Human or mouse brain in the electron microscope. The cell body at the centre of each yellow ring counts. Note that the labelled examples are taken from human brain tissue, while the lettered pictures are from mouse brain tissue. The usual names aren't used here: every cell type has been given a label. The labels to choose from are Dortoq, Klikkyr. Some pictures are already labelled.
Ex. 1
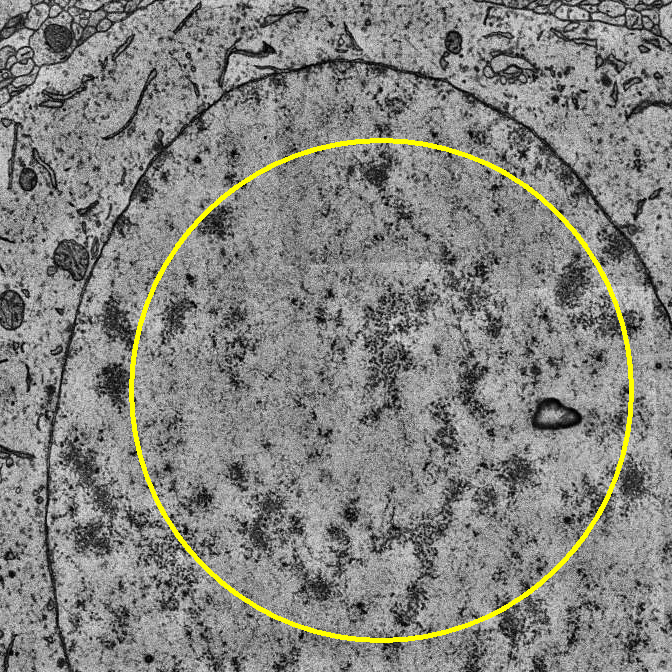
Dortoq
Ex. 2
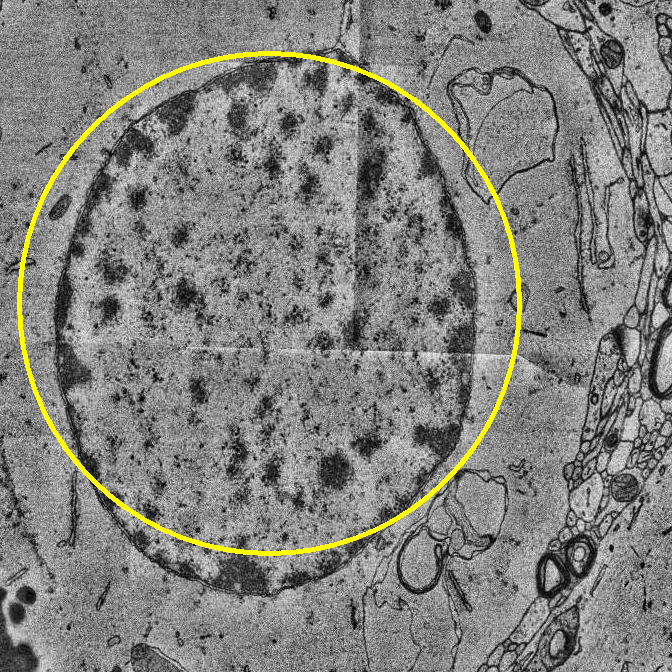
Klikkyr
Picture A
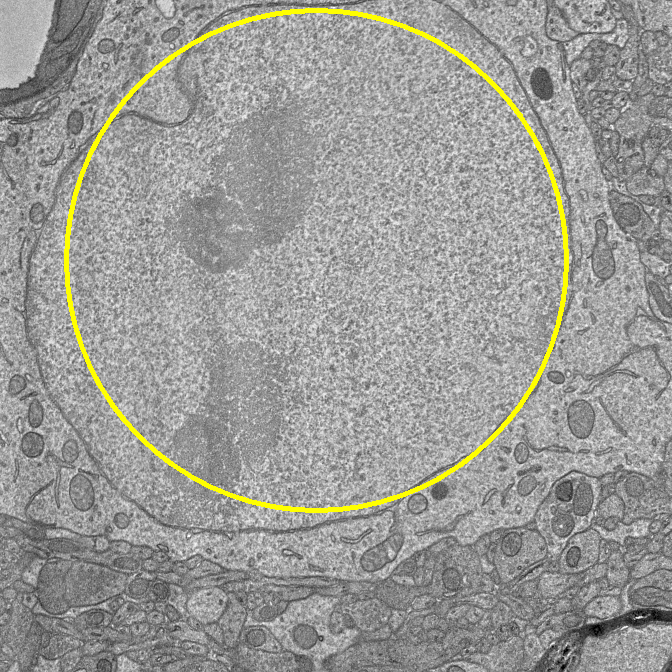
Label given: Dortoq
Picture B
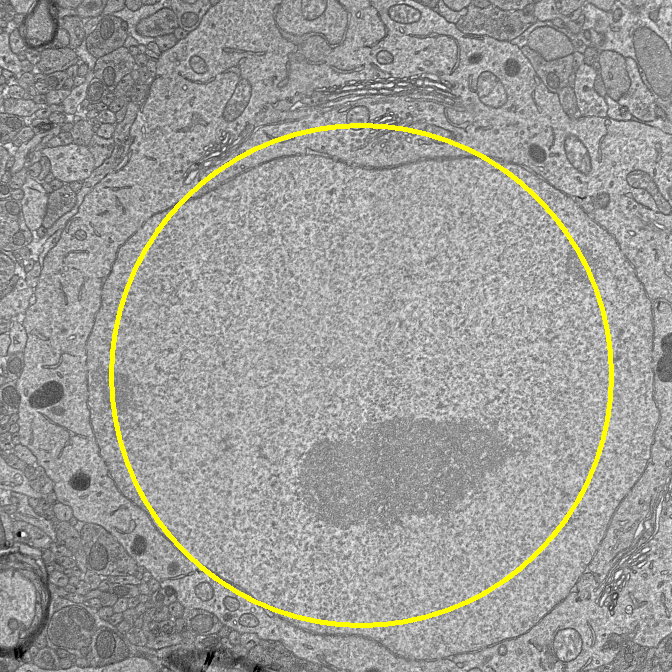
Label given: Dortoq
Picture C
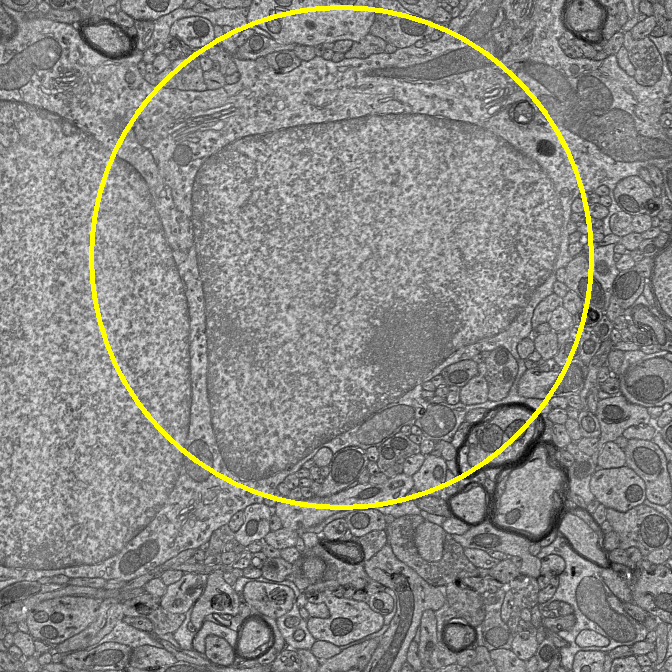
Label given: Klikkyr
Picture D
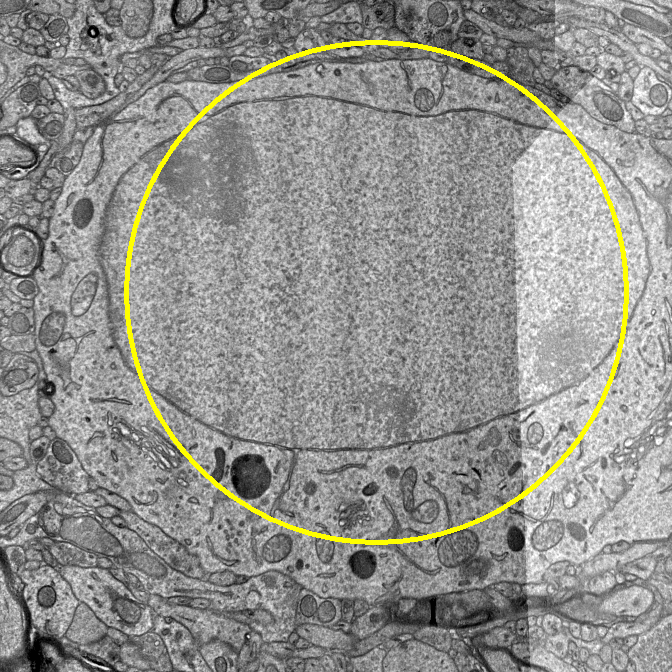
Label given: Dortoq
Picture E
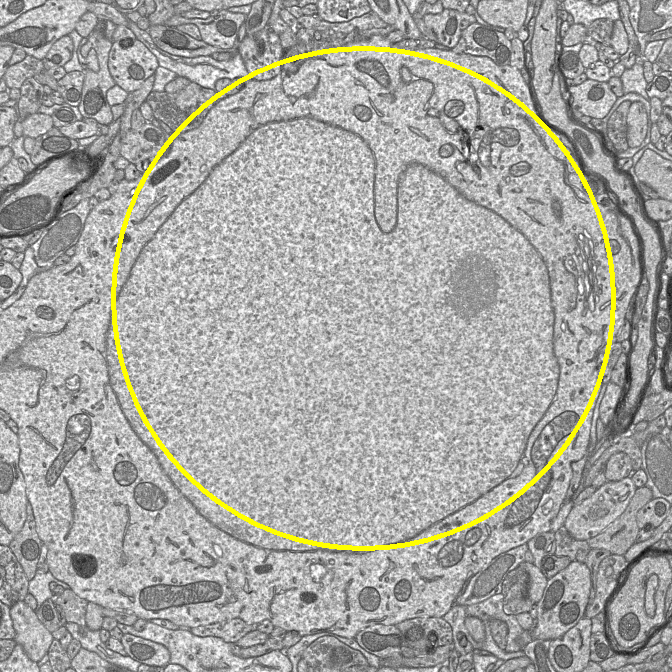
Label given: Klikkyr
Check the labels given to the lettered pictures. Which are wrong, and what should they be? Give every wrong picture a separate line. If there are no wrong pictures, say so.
E: change Klikkyr to Dortoq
